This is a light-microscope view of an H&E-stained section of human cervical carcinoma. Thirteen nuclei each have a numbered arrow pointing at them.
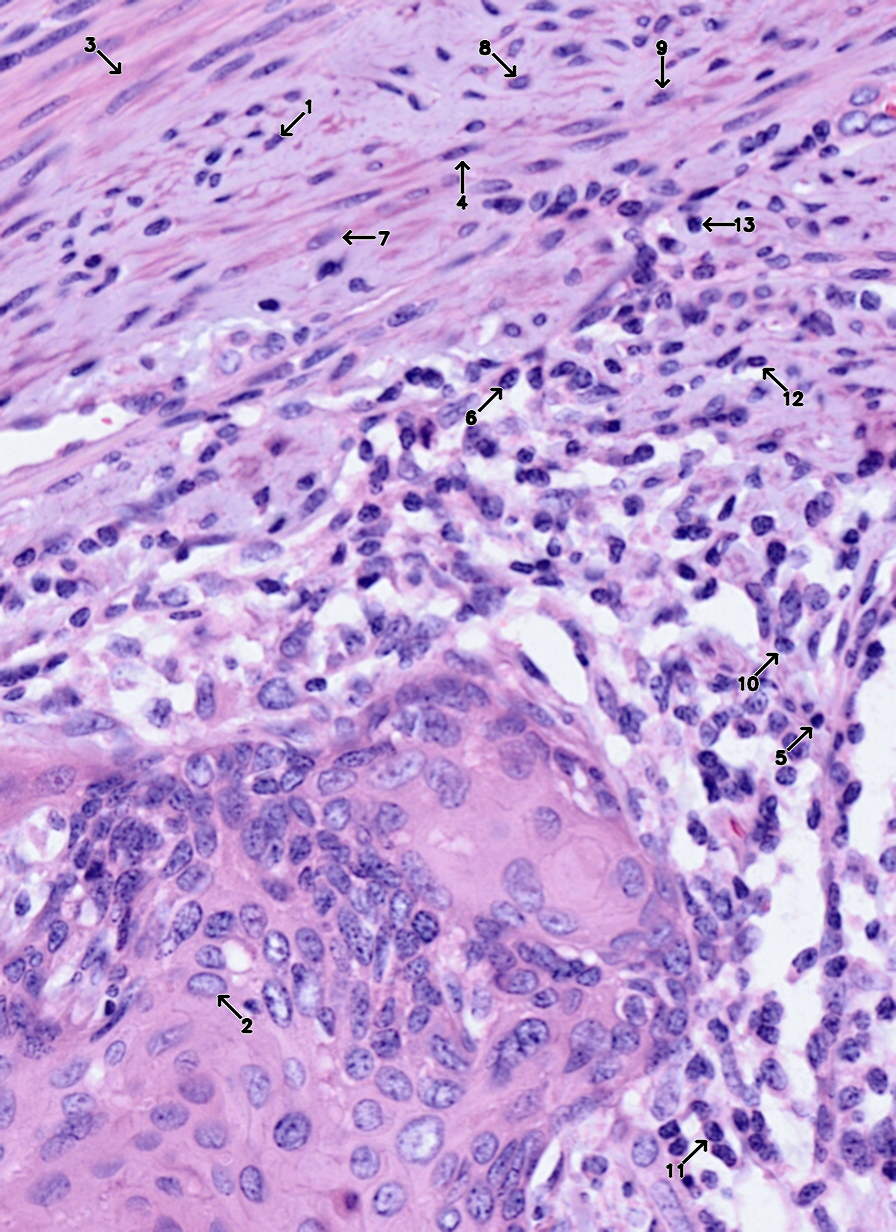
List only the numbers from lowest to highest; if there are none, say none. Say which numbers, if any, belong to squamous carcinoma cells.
2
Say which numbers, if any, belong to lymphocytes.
5, 6, 10, 11, 12, 13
